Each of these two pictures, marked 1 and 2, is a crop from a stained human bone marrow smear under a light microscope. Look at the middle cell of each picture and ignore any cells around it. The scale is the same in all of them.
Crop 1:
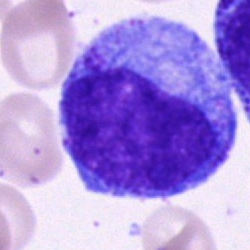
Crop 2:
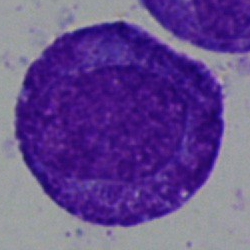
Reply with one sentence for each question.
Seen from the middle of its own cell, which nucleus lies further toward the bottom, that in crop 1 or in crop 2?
It is the nucleus in crop 1 that lies further toward the bottom of its cell.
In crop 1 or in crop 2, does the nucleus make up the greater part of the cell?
It is the cell in crop 2 that is filled more by its nucleus.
